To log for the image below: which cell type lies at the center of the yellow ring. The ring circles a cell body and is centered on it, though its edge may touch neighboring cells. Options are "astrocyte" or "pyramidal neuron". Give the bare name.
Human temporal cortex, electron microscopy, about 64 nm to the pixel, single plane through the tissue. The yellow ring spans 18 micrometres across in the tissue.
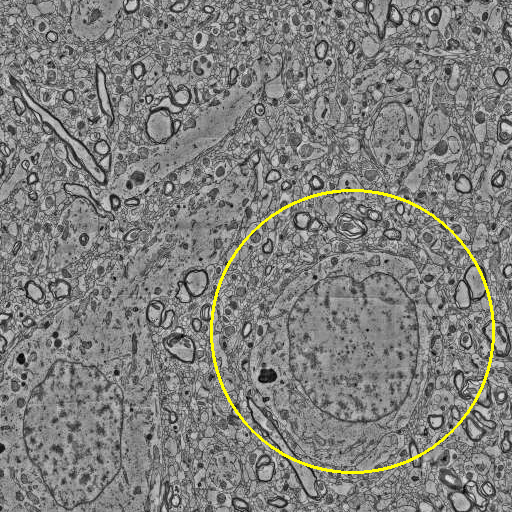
pyramidal neuron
